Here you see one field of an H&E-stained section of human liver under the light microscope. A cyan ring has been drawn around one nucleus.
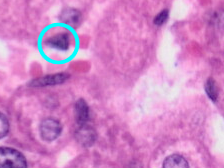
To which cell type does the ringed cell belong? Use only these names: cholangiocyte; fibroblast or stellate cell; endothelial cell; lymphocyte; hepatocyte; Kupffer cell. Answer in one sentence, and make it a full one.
Among the cells in this section, the ringed cell is an endothelial cell.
